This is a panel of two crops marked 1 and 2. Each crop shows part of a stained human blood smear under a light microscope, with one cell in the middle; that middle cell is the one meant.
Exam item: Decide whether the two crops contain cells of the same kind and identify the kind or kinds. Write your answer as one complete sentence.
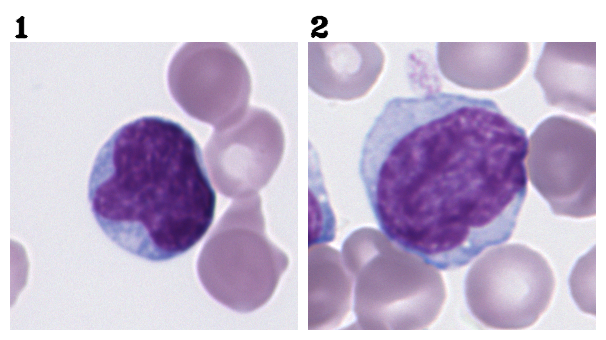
Yes, both crops show myeloblasts, to put it briefly.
